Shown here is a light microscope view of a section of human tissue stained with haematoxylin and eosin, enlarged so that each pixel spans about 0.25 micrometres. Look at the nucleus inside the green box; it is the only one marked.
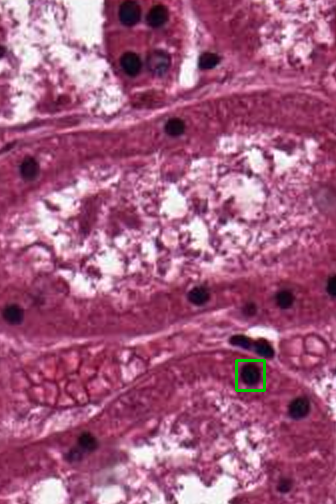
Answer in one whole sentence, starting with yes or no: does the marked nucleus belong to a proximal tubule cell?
Yes, the marked nucleus, as shown, belongs to a proximal tubule cell.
